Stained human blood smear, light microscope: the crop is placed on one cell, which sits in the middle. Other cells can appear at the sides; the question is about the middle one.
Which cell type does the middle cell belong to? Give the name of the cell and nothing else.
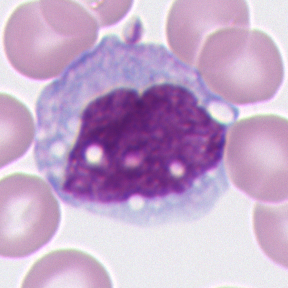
monocyte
